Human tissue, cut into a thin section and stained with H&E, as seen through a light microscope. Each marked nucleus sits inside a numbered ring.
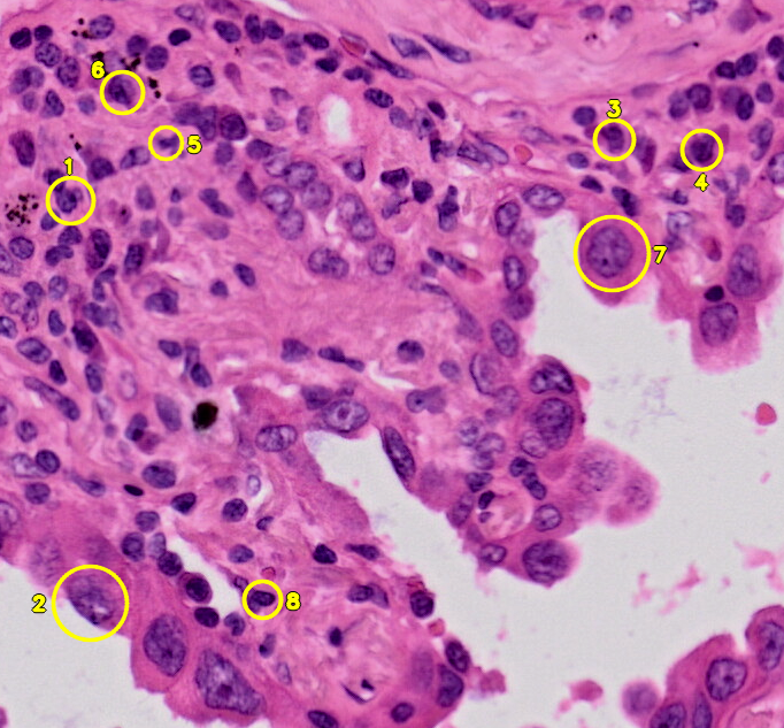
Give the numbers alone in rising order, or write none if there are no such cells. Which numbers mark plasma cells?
3, 4, 6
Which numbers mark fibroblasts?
none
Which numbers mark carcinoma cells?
2, 7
